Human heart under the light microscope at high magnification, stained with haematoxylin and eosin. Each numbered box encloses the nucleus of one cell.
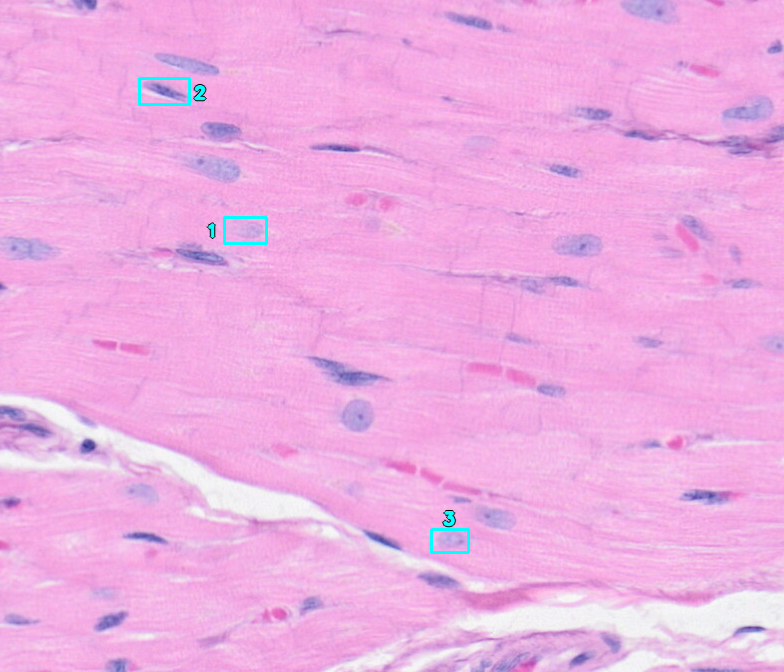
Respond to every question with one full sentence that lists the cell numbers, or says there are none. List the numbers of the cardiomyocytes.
In short, the numbered cells 1 and 3 are cardiomyocytes.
